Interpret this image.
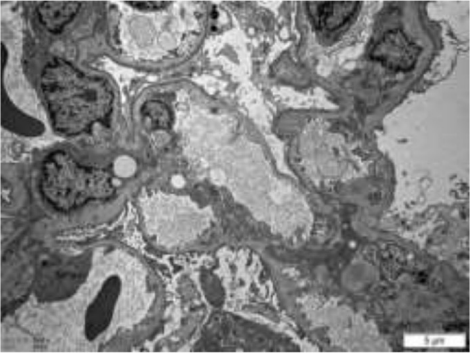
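This electron micrograph shows glomerular capillary loops with their basement membranes and the epithelial cells lying on their outer side. Red blood cells appear as dense, smooth dark ovals inside some capillary lumens. The basement membranes run as grey bands between the lumens and the urinary space. The overlying epithelial cytoplasm spreads as a broad continuous layer along the membranes rather than as separate small feet. Nuclei with dark, clumped chromatin sit in the cells at the top of the field.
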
